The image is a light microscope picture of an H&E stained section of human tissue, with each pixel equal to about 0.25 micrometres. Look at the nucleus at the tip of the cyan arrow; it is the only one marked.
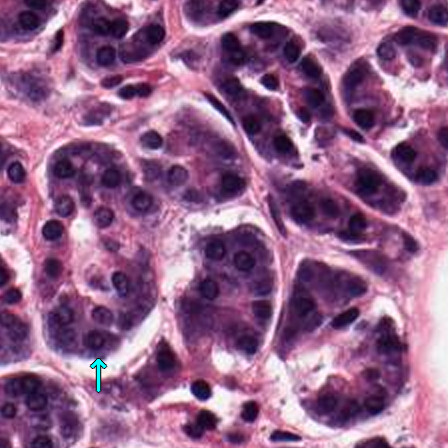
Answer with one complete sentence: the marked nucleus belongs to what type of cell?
The marked nucleus is located in a pancreatic acinar cell.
